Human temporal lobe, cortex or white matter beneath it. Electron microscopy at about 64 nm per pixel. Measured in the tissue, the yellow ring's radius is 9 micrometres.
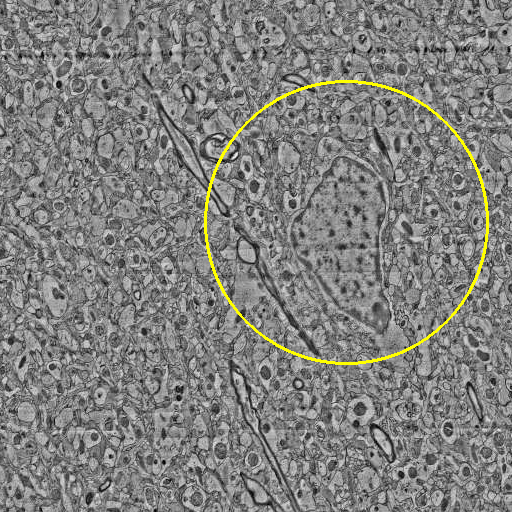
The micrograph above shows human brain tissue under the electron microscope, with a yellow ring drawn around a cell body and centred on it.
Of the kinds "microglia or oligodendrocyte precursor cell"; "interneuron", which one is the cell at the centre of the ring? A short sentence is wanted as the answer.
The one at the centre of the ring is a microglial cell or oligodendrocyte precursor cell.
